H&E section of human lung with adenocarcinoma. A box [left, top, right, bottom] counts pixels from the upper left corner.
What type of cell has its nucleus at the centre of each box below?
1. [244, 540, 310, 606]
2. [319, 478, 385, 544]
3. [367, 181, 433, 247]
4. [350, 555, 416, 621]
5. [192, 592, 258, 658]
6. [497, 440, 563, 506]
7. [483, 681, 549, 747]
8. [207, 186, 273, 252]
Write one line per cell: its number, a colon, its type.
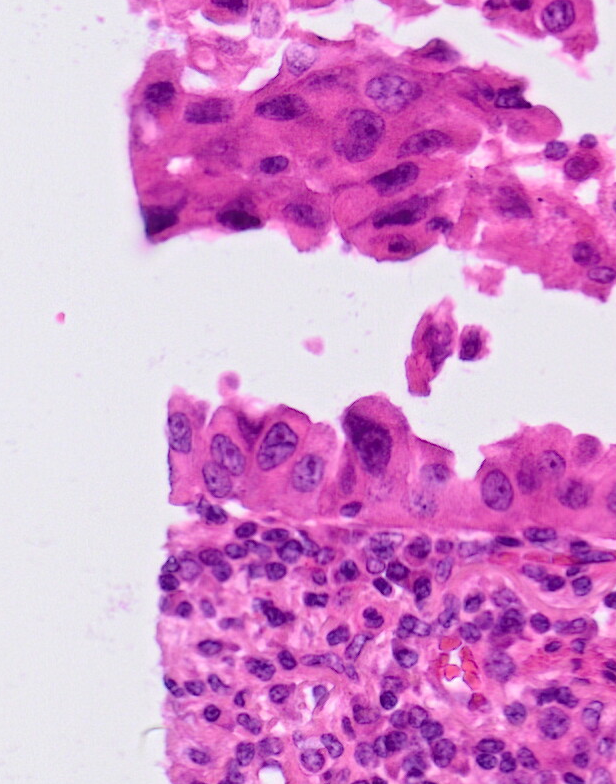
1: lymphocyte
2: lymphocyte
3: carcinoma cell
4: lymphocyte
5: lymphocyte
6: carcinoma cell
7: lymphocyte
8: carcinoma cell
